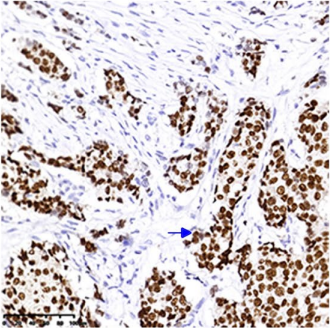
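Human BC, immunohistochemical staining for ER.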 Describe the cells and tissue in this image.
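Tumour tissue in which nests and cords of epithelial cells lie within a pale fibrous stroma containing scattered spindle-shaped cells with blue nuclei. In the tumour cells the brown stain is restricted to the rounded nuclei, while their cytoplasm stays pale, so the nests appear as clusters of dark brown dots.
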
